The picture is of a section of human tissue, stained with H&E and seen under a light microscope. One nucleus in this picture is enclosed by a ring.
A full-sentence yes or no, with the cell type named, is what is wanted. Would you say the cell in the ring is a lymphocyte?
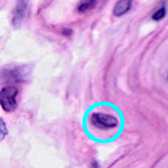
Yes, within this tissue section, the cell in the ring is a lymphocyte.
